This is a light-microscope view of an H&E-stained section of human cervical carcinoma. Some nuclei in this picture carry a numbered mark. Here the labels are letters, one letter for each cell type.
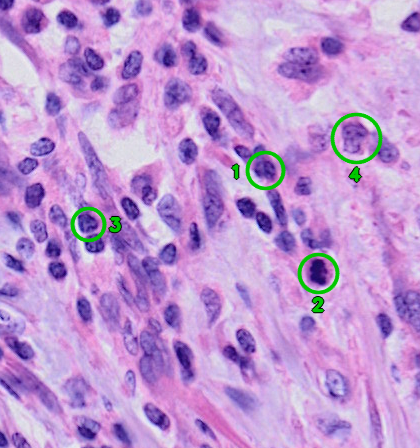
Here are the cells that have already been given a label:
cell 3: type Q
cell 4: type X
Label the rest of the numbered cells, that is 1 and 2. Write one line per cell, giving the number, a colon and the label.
1: type Q
2: type Q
